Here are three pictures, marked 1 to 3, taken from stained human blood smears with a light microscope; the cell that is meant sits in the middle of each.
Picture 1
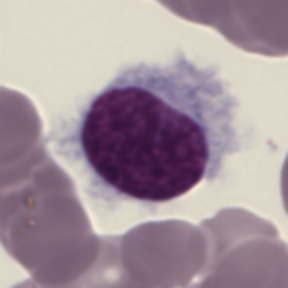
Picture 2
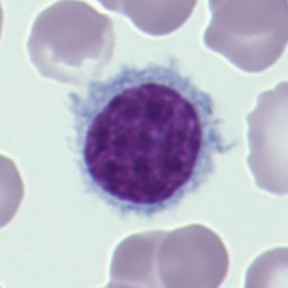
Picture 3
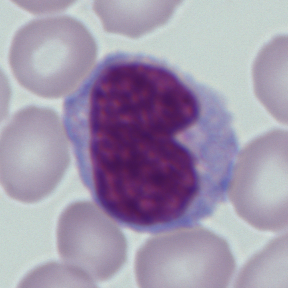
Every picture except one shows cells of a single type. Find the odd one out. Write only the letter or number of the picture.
3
